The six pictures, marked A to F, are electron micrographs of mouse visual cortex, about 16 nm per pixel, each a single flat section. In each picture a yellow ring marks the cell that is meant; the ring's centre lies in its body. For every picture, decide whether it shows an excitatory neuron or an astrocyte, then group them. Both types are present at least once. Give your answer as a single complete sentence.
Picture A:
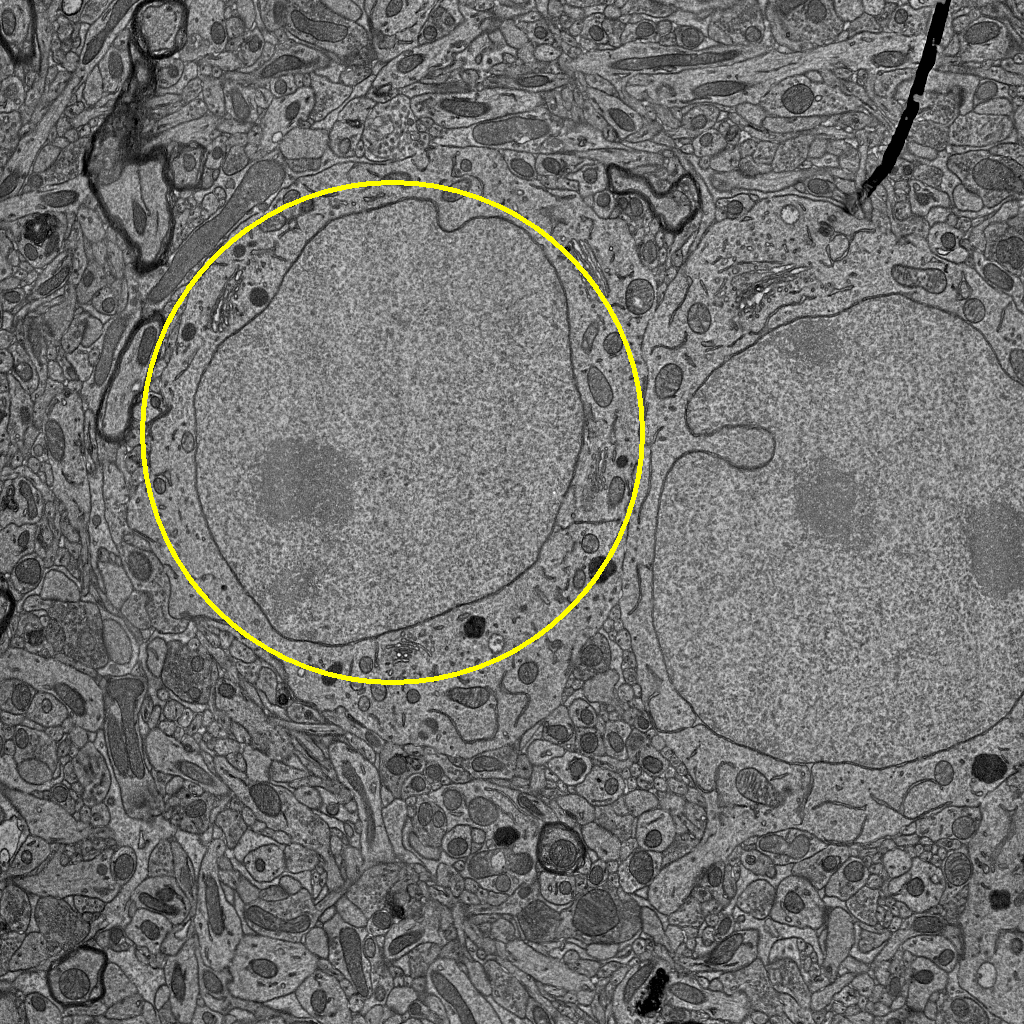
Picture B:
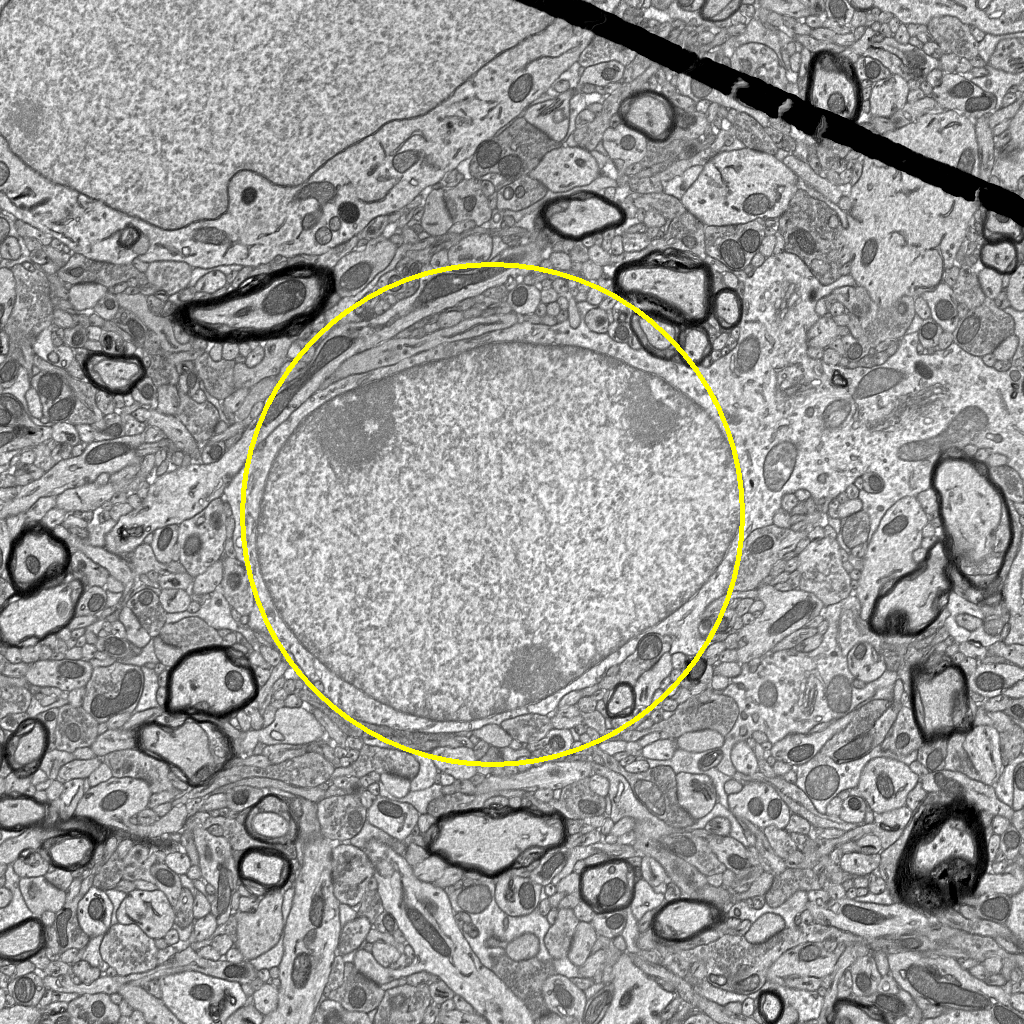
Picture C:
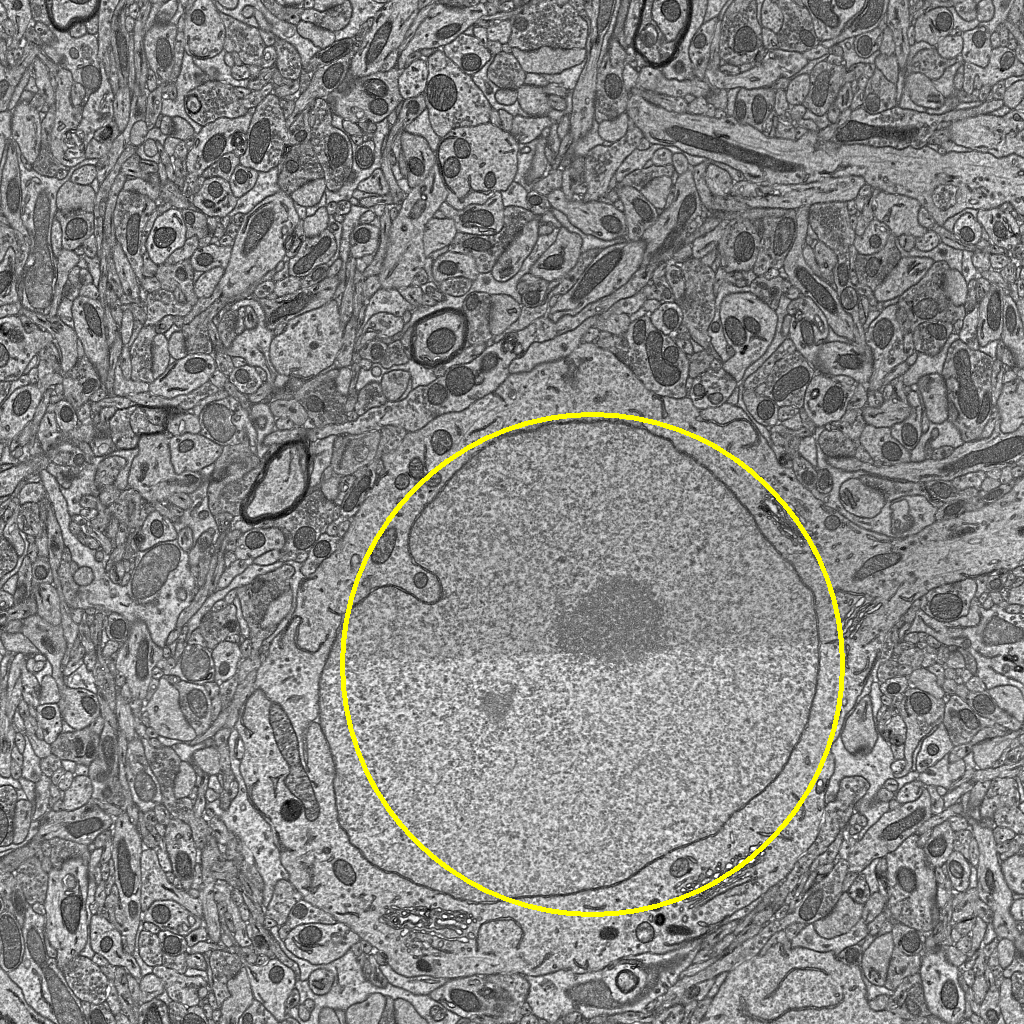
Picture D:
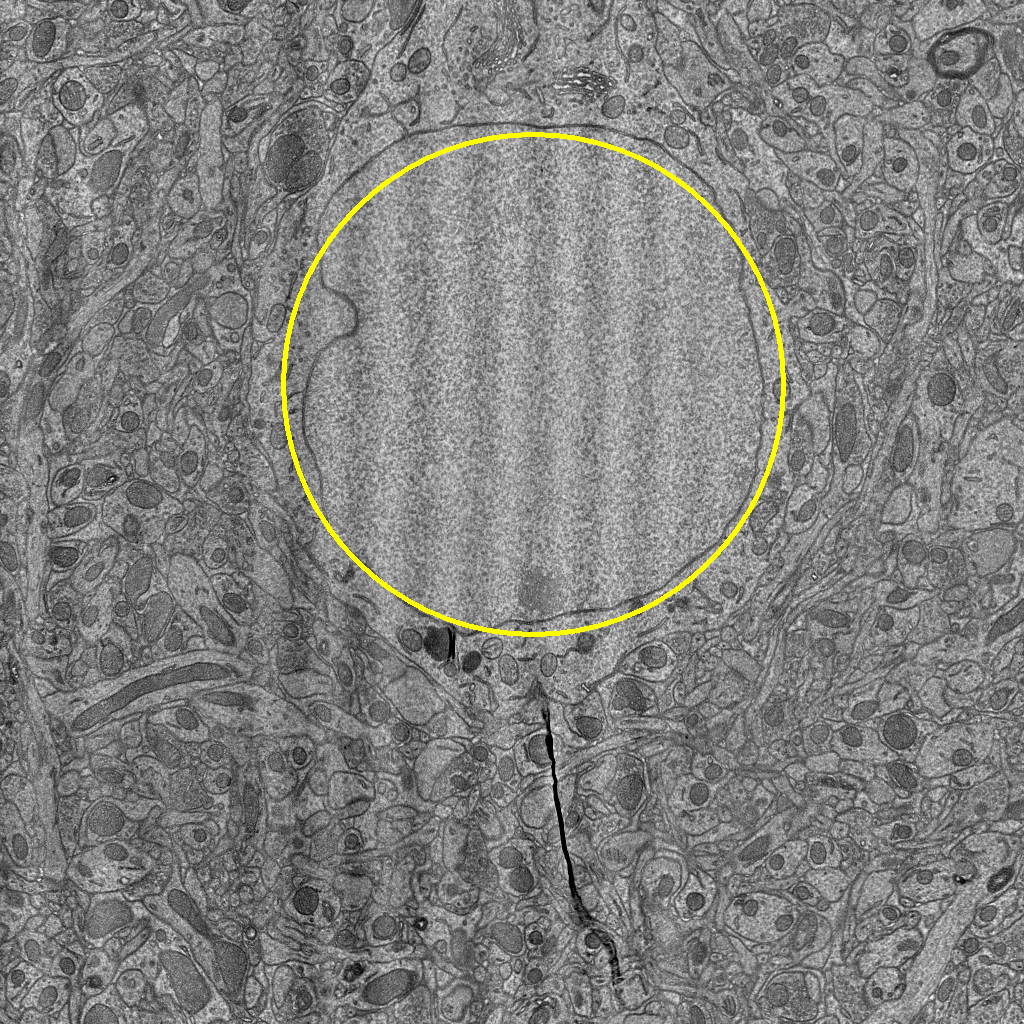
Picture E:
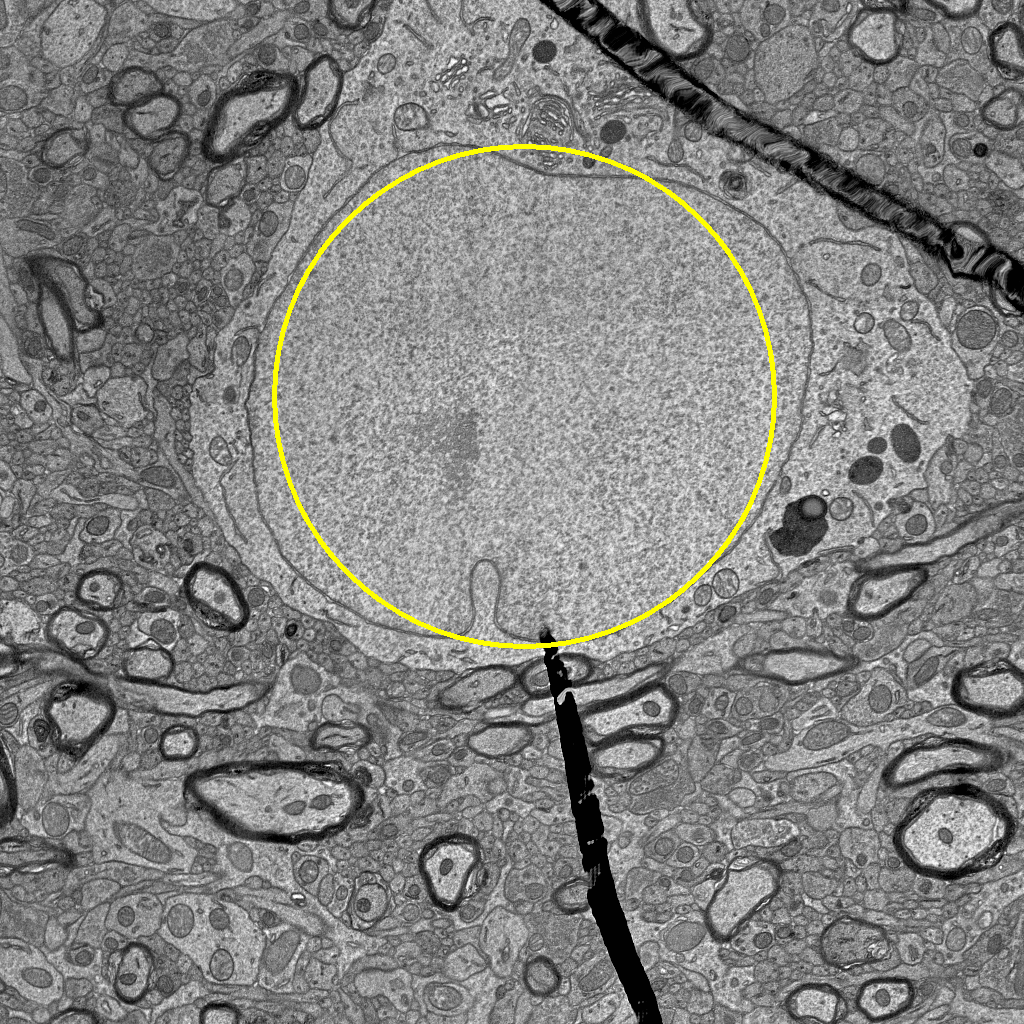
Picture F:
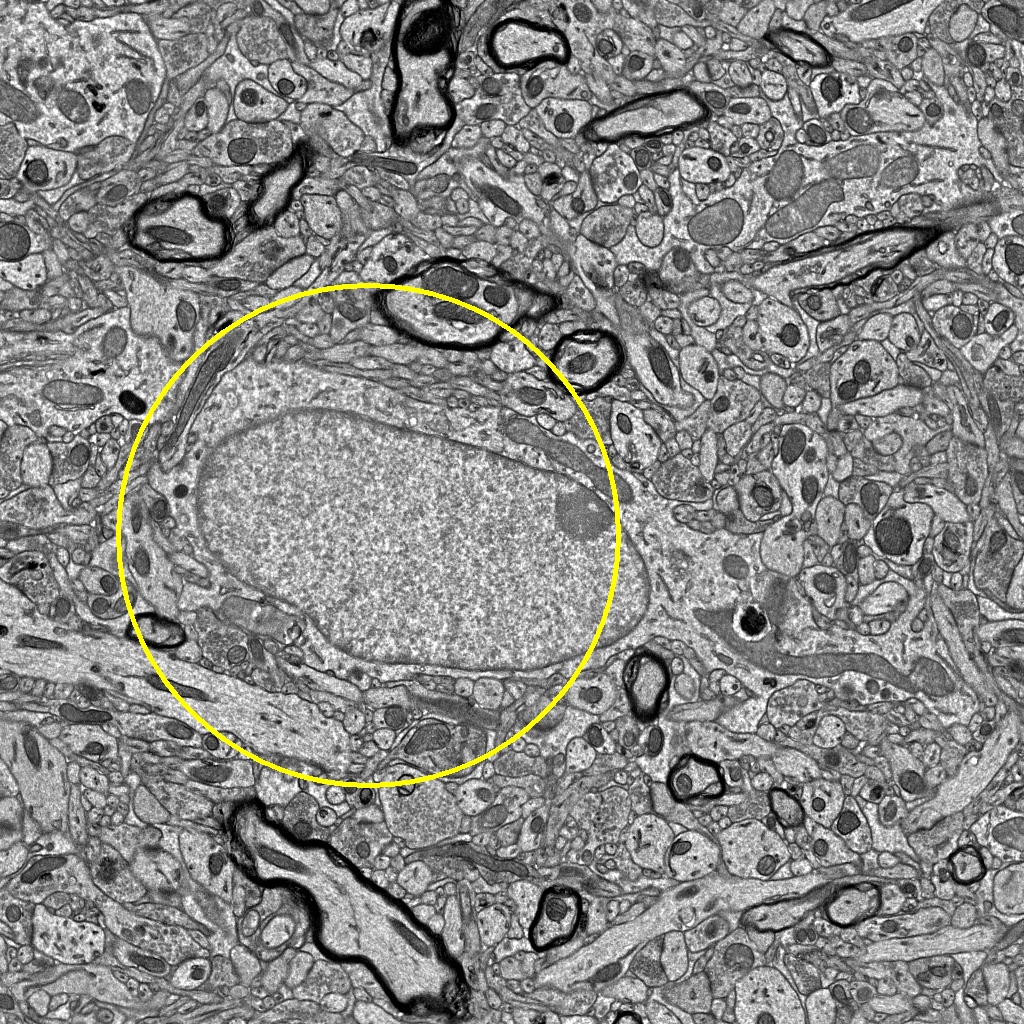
Pictures A, C, D and E show excitatory neurons, and pictures B and F show astrocytes.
